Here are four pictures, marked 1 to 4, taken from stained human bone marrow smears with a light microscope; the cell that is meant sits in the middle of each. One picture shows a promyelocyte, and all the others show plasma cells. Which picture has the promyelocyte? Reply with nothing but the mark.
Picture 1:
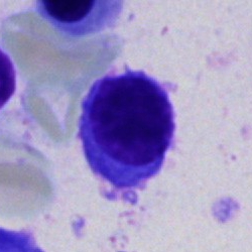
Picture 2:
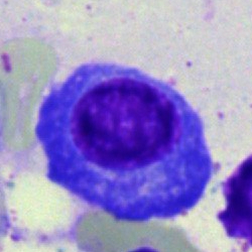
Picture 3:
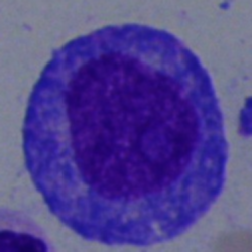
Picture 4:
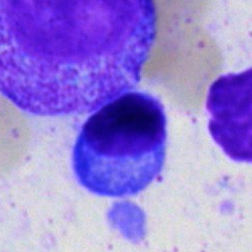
3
